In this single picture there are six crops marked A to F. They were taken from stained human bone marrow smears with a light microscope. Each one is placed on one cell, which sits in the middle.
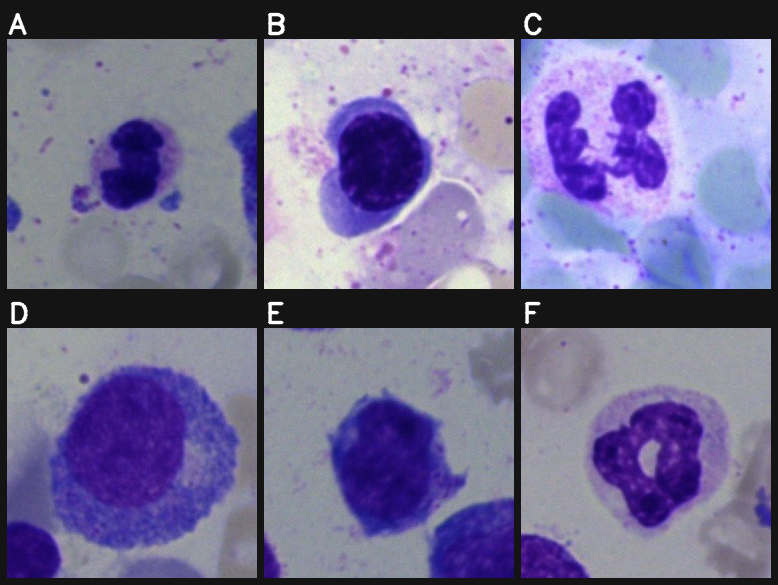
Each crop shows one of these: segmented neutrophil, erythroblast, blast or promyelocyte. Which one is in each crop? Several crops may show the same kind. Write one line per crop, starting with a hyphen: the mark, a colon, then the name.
- A: segmented neutrophil
- B: erythroblast
- C: segmented neutrophil
- D: promyelocyte
- E: blast
- F: segmented neutrophil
